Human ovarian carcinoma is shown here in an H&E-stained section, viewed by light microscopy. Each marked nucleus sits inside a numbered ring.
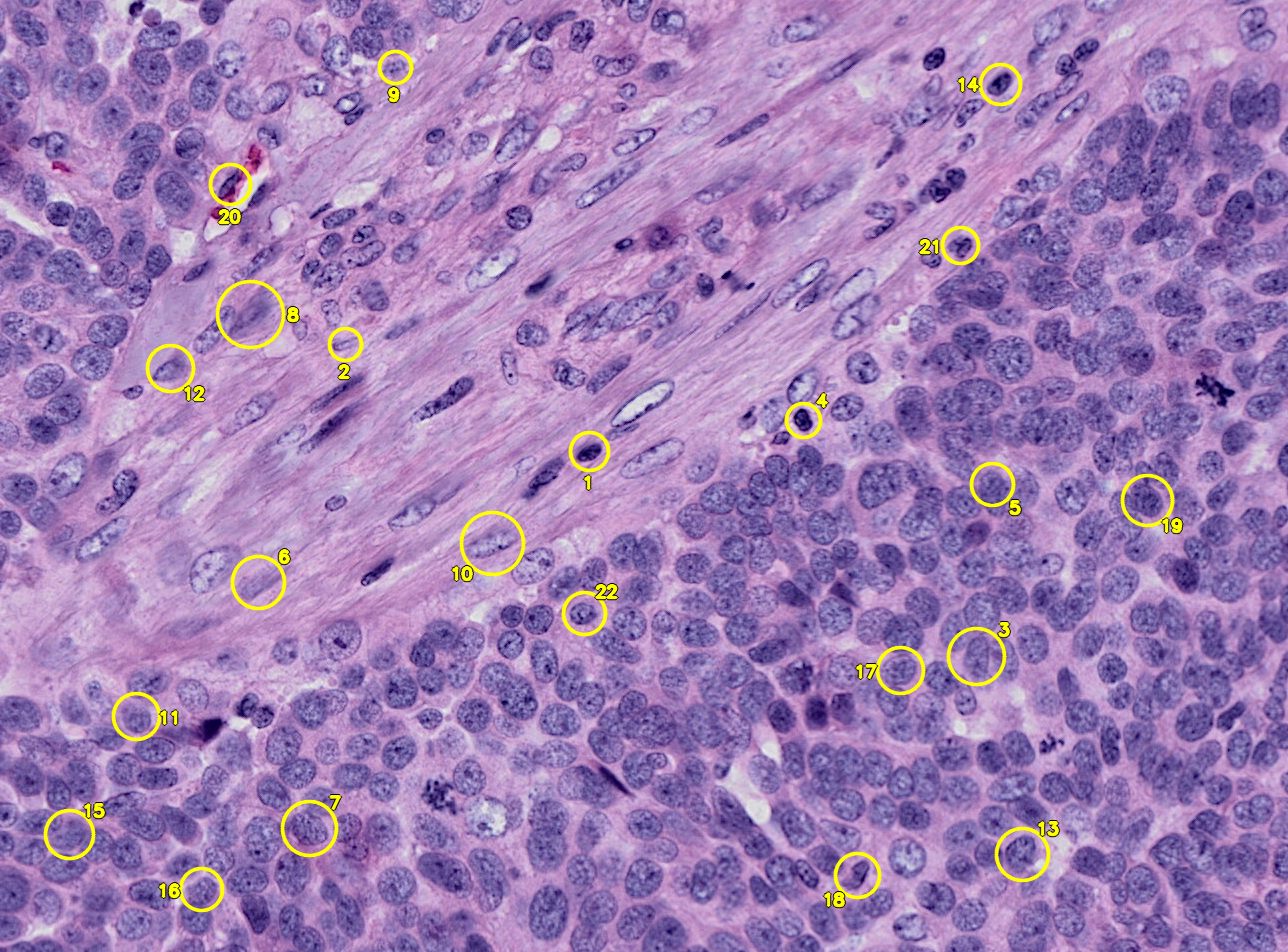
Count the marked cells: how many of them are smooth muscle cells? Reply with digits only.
0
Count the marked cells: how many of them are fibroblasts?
5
